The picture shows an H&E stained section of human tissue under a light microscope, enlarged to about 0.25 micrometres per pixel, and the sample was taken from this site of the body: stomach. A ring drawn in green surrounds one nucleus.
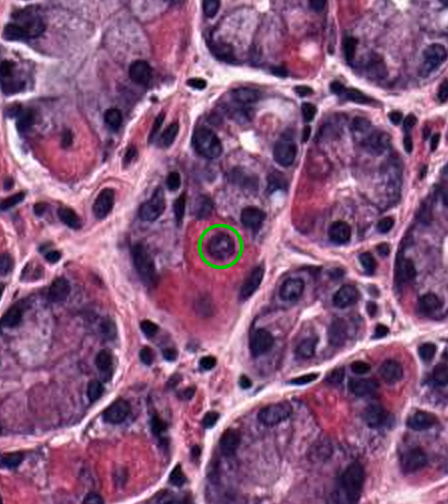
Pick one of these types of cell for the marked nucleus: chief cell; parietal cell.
parietal cell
